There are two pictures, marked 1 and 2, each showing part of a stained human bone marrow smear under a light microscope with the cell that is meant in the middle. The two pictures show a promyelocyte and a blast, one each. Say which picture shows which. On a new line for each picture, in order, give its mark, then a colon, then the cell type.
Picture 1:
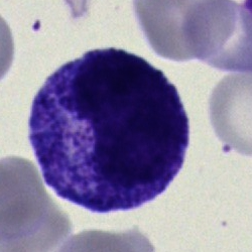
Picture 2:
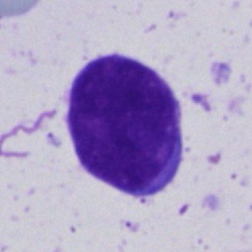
1: promyelocyte
2: blast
